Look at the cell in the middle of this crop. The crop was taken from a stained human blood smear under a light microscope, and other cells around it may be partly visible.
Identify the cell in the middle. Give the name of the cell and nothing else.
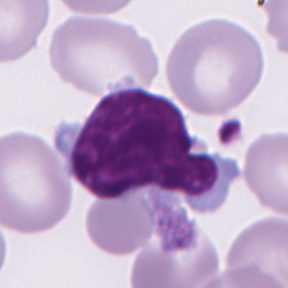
typical lymphocyte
